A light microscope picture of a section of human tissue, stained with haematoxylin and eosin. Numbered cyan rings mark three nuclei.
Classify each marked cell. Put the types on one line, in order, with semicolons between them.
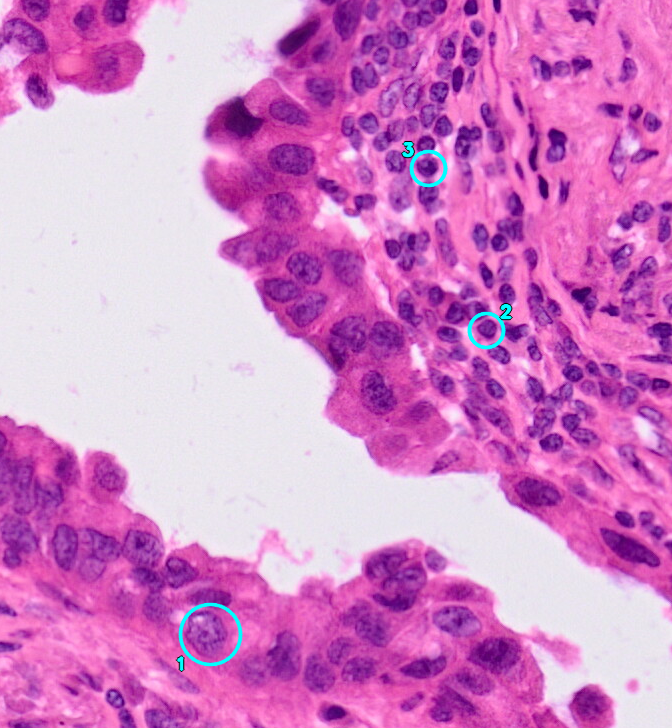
carcinoma cell; lymphocyte; lymphocyte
